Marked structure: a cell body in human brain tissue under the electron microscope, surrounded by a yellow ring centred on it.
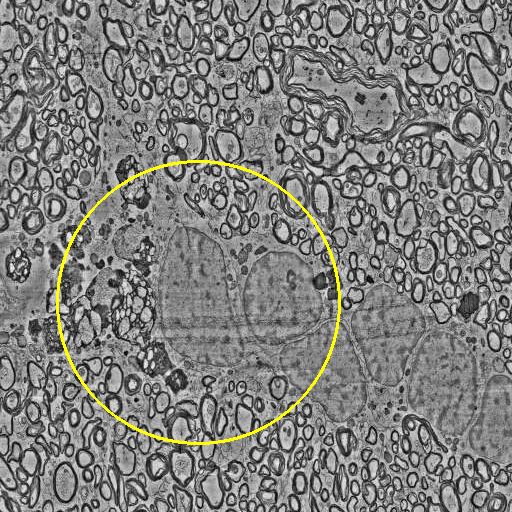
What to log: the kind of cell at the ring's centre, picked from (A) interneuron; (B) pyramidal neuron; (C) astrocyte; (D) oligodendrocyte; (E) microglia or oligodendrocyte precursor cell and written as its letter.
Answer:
C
